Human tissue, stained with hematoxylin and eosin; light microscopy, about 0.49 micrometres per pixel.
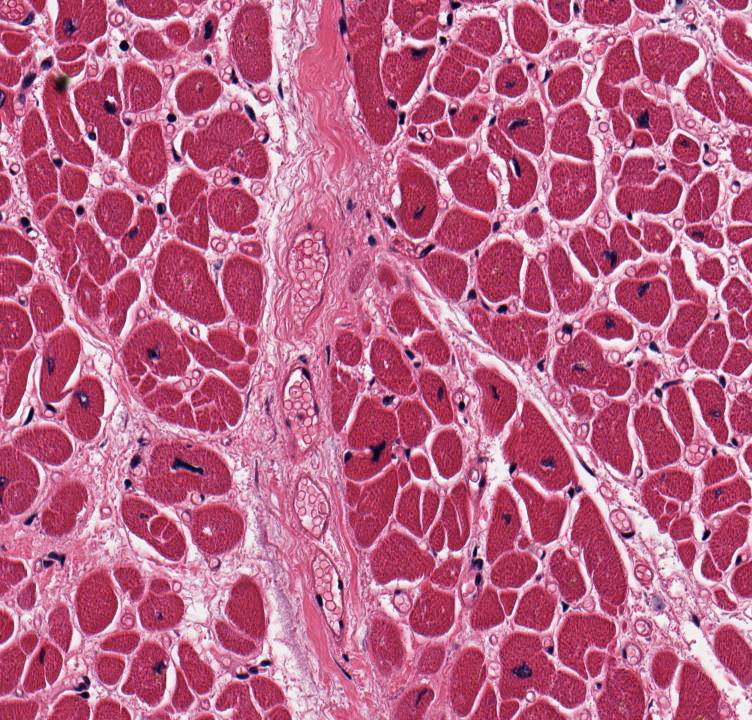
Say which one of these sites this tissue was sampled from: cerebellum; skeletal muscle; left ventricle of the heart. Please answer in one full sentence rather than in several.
Tissue of the left ventricle of the heart was sampled to make this section.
